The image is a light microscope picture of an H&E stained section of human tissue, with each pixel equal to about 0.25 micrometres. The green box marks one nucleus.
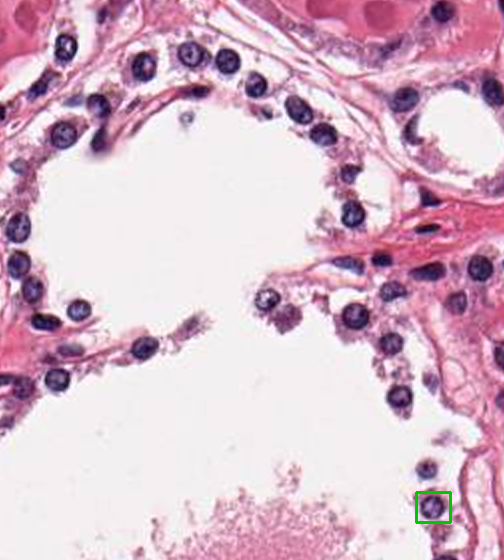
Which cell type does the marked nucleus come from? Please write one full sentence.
In this image, the nucleus that is marked belongs to a thyroid follicular cell.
